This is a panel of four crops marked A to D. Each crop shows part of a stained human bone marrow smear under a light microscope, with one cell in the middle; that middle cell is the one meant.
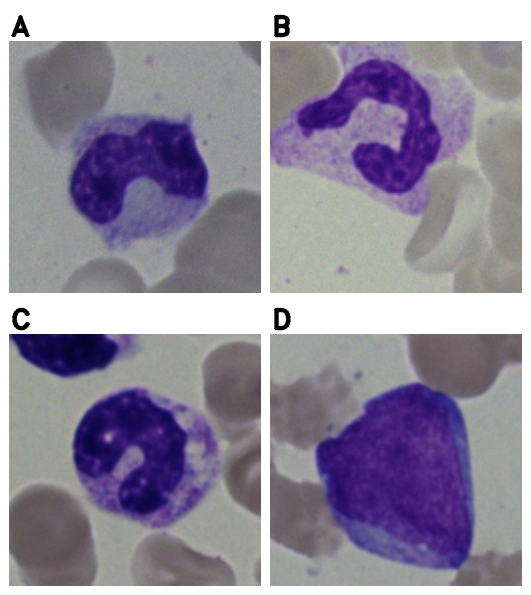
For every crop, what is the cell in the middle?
A: band neutrophil
B: segmented neutrophil
C: band neutrophil
D: blast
